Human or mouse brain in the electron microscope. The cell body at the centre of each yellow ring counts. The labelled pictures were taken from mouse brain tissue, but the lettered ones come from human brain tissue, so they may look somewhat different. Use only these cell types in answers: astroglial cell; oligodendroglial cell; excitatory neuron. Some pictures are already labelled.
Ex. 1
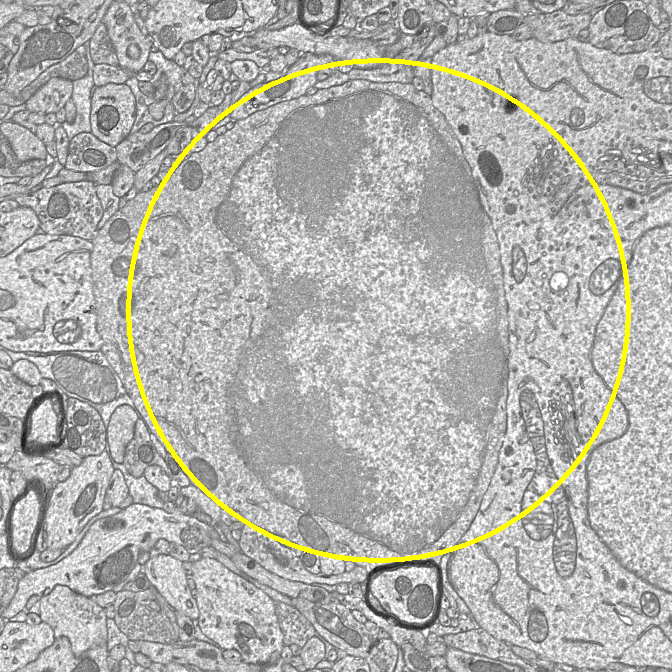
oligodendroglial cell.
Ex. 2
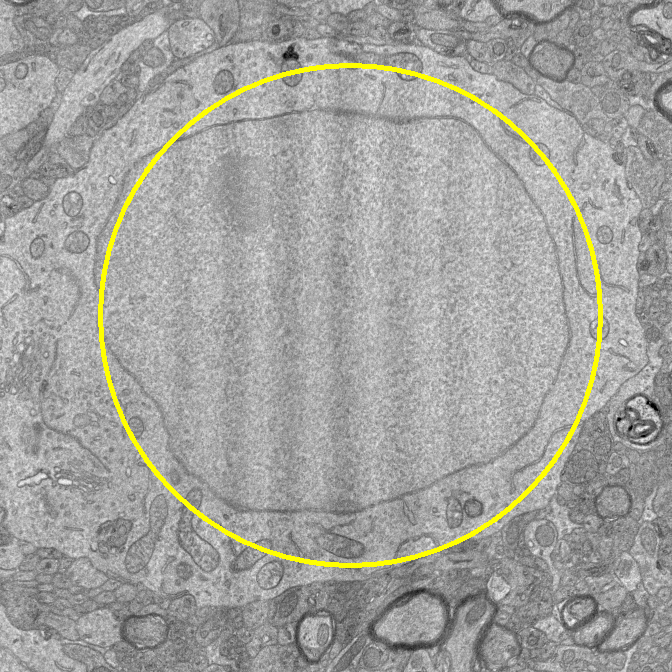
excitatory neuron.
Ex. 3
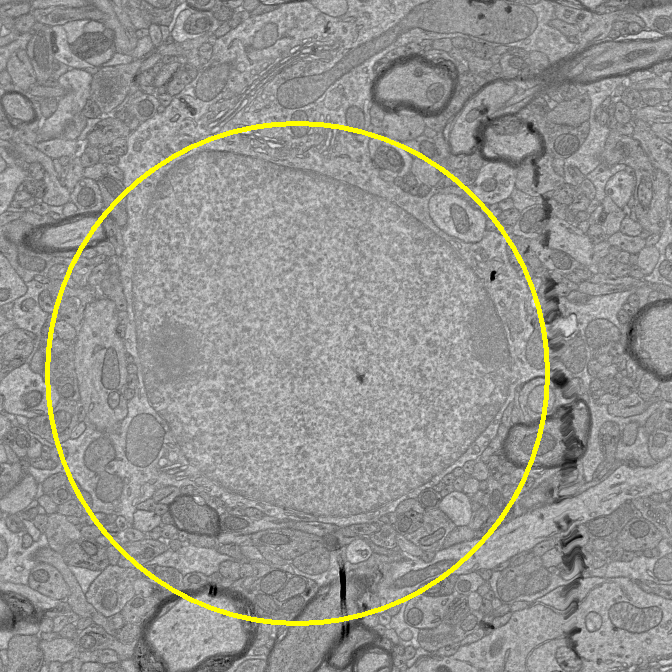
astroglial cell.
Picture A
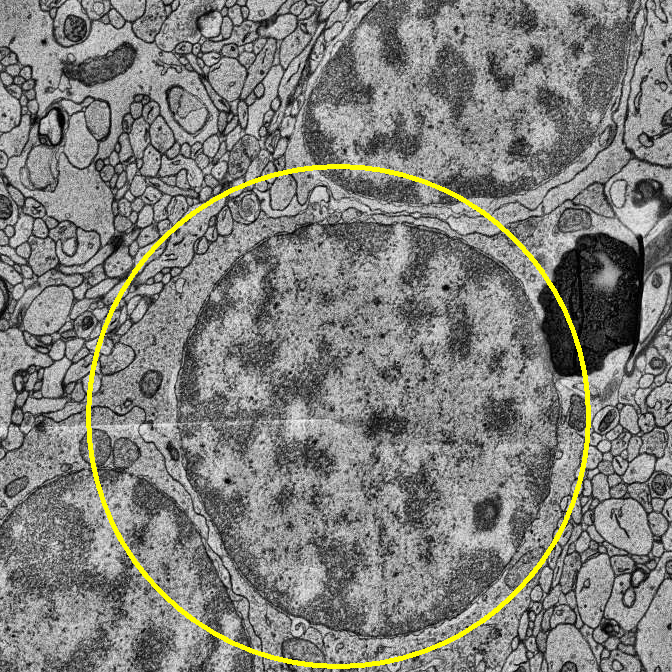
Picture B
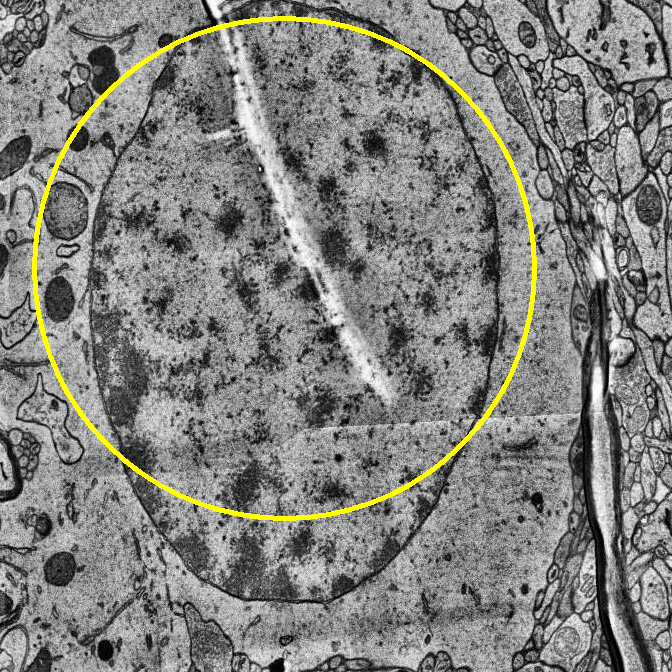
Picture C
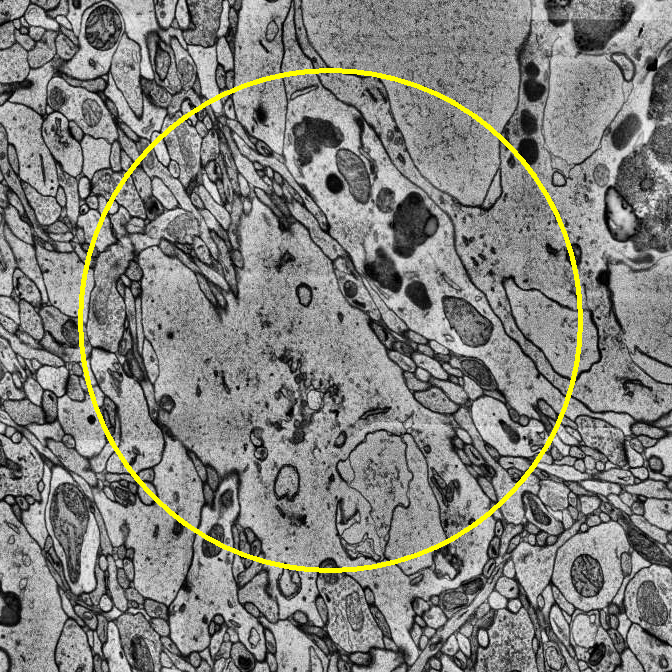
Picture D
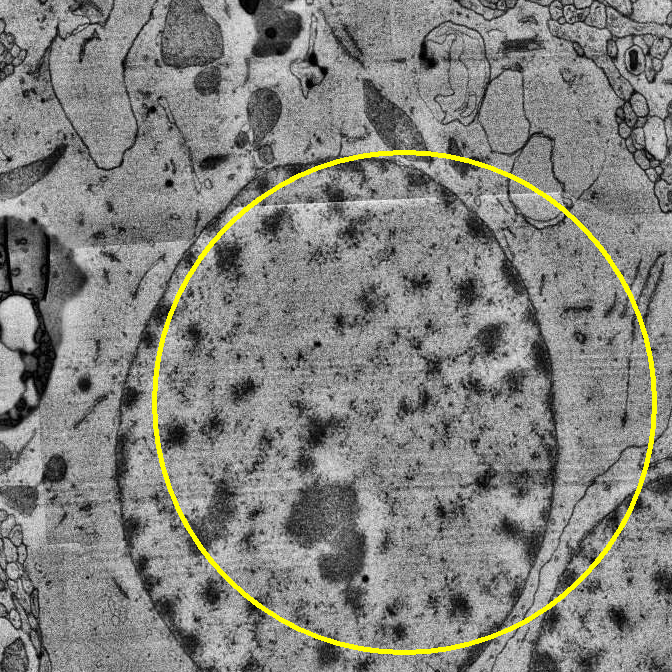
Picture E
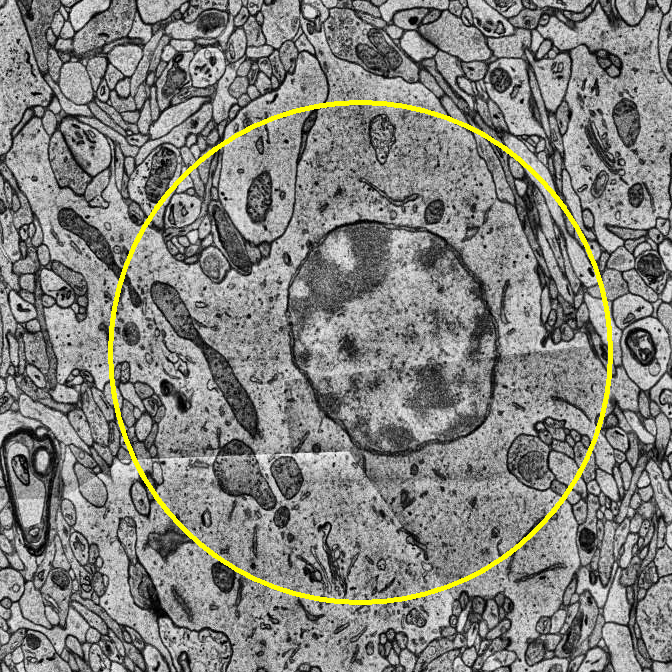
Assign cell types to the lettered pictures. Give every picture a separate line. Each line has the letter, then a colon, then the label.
A: oligodendroglial cell.
B: astroglial cell.
C: astroglial cell.
D: astroglial cell.
E: astroglial cell.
